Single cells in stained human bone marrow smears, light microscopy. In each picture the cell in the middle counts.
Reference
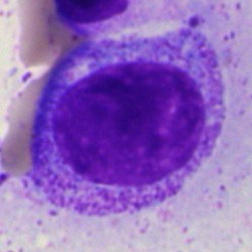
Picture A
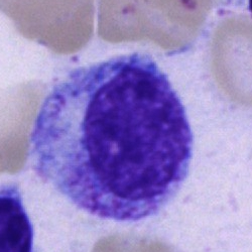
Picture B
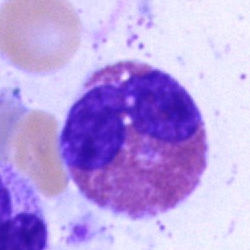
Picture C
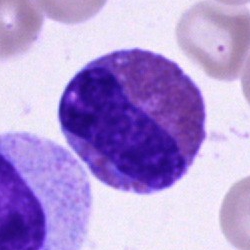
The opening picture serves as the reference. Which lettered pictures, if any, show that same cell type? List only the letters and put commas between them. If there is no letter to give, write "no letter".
A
